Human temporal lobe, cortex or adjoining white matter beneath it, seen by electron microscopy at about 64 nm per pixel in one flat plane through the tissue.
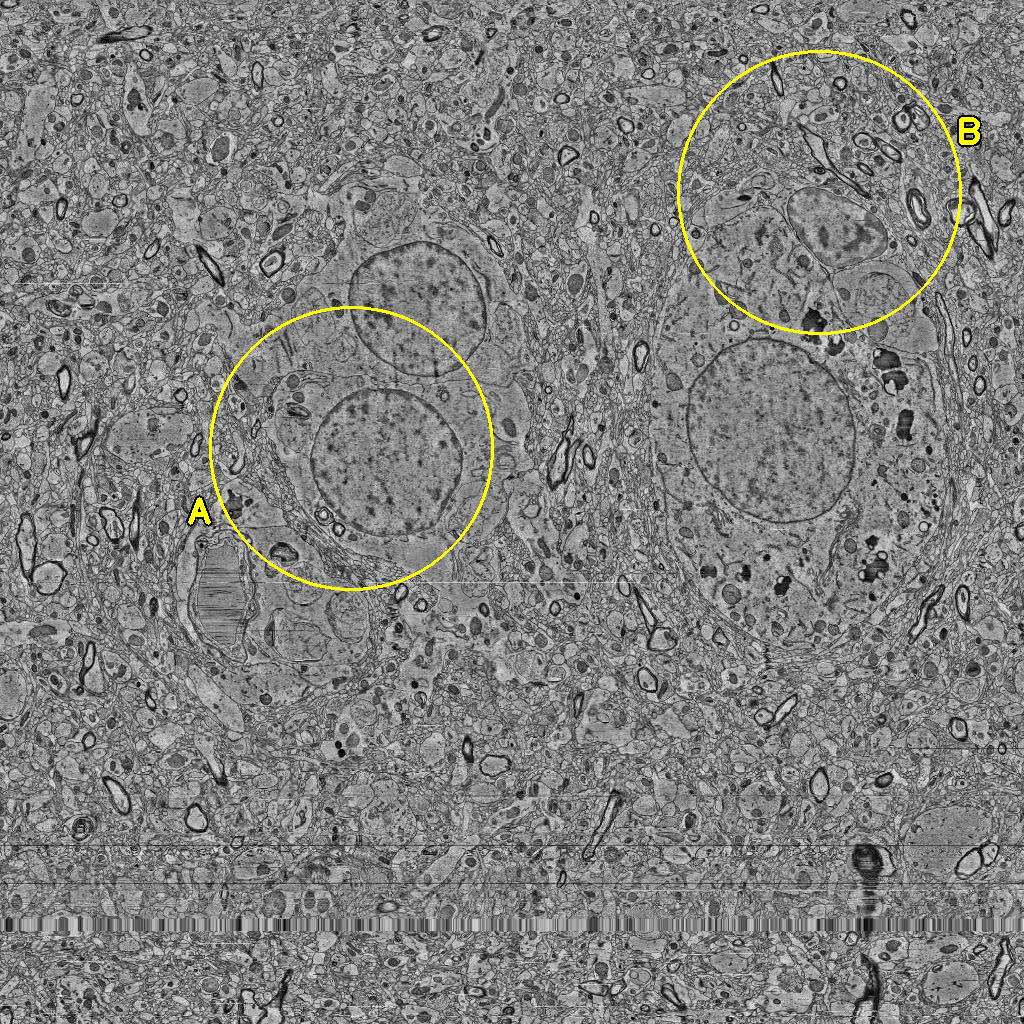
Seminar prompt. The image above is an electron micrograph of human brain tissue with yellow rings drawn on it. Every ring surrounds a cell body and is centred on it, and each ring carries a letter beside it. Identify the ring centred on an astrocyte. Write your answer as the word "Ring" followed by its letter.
Ring A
